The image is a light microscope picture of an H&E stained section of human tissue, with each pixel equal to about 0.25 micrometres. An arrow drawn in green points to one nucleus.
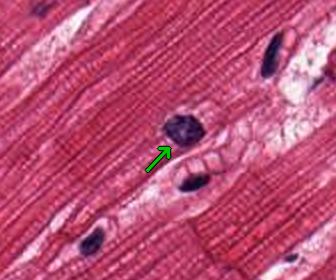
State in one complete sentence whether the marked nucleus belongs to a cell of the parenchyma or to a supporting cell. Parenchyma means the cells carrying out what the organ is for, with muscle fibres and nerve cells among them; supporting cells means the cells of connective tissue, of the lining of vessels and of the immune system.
The marked nucleus is contained in a parenchymal cell, namely a cardiomyocyte.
